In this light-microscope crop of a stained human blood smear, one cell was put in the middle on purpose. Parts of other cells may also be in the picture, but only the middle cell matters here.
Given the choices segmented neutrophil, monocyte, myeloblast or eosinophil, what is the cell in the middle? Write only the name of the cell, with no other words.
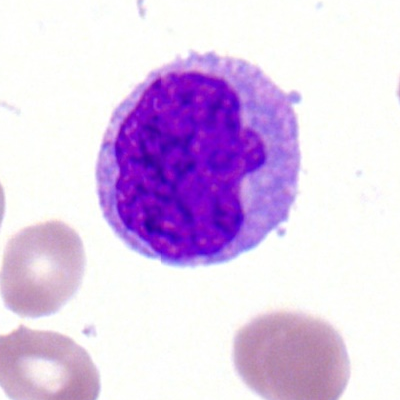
monocyte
